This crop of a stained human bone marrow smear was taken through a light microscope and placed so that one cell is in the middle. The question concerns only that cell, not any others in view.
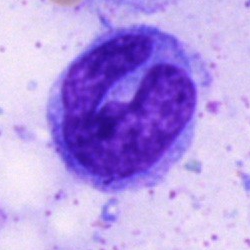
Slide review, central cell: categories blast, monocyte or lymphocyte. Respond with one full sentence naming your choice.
Regarding the central cell, it is a monocyte.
